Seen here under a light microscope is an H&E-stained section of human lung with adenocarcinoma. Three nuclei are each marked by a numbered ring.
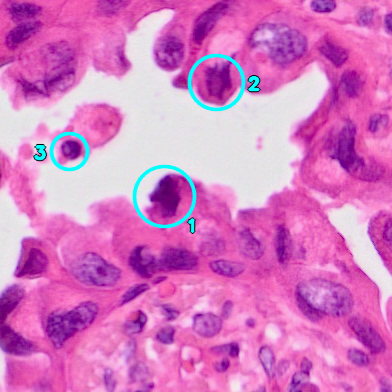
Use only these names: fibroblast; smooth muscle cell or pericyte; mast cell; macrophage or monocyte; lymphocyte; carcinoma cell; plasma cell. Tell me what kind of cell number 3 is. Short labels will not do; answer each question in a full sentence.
Identified by the number 3, the cell is a lymphocyte.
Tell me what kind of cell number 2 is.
The one numbered 2 among the marked cells is a carcinoma cell.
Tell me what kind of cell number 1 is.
Cell 1 of the marked set is a carcinoma cell.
